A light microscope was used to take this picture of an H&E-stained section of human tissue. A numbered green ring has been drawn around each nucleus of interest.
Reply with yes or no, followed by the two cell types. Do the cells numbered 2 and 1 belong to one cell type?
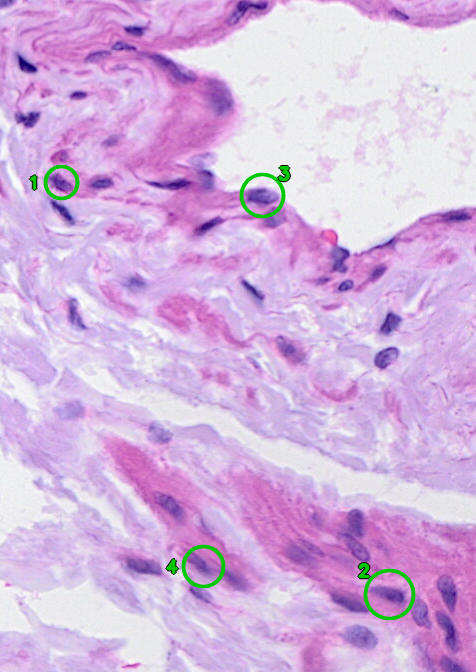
Yes, each of the two cells, 2 and 1, is among the smooth muscle cells.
